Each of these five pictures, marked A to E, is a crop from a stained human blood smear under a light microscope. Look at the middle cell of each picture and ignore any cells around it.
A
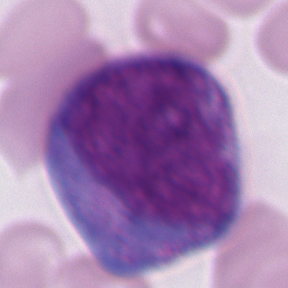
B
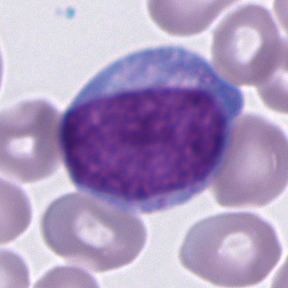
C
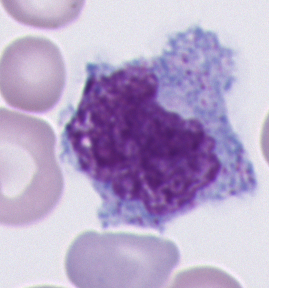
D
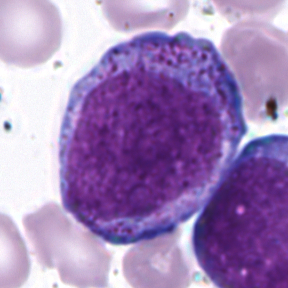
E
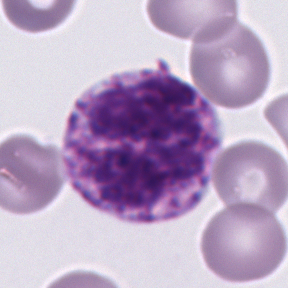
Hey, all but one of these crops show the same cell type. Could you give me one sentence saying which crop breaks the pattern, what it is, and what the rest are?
Crop E is the outlier, with a basophil against promyelocytes in the rest.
